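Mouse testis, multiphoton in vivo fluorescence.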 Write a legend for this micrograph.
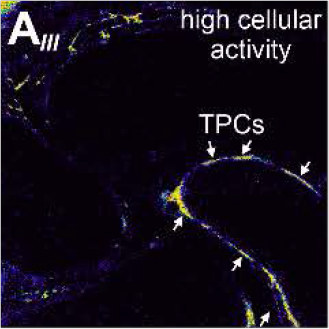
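Against a nearly black background, the outline of a large rounded seminiferous tubule is traced by a thin, bright yellow-green rim. This rim follows the curved outer border of the tubule and is brightest at several short stretches, as if made of flat, elongated cells hugging the tubule wall. The interior of the tubule remains dark, without bright signal. Small scattered bright specks lie at the upper left, outside the tubule.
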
